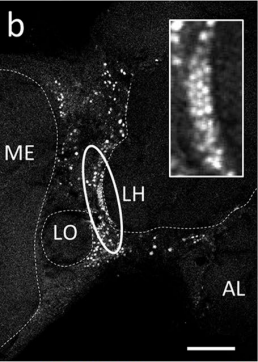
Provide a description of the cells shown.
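This confocal section of insect brain shows small, round, brightly labelled nuclei lying in an elongated cluster, outlined by an oval, where the optic lobe meets the central brain. The enlarged view shows these nuclei densely packed against one another in a narrow band. Scattered labelled nuclei lie along the borders of the neighbouring neuropils, while the neuropils themselves remain dark grey and unlabelled.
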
